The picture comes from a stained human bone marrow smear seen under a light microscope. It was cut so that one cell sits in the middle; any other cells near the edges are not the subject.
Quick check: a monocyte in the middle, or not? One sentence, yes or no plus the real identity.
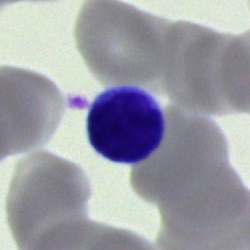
No, a monocyte is not what the central cell is; it is a lymphocyte.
